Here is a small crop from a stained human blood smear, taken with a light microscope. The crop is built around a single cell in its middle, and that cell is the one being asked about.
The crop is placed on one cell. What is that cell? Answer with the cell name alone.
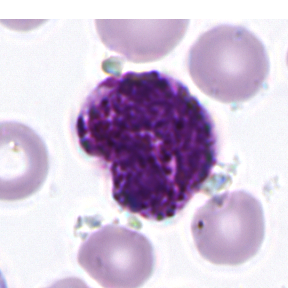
basophil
